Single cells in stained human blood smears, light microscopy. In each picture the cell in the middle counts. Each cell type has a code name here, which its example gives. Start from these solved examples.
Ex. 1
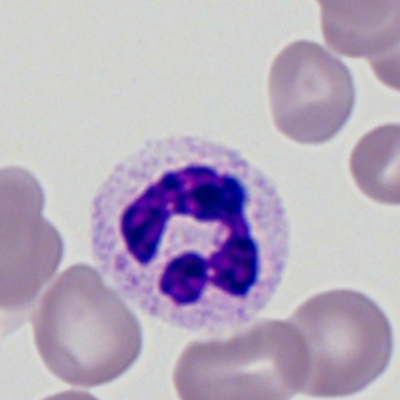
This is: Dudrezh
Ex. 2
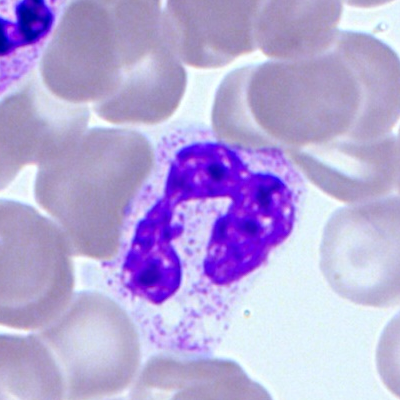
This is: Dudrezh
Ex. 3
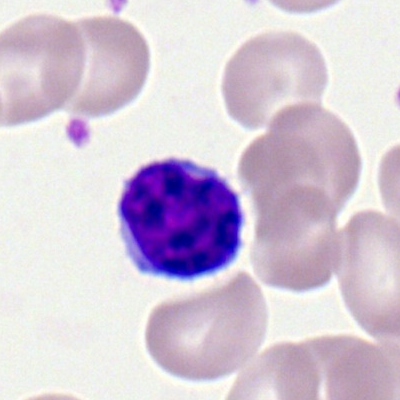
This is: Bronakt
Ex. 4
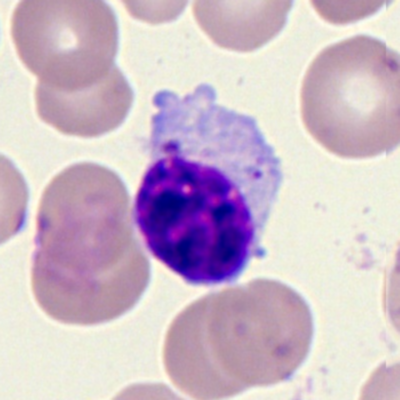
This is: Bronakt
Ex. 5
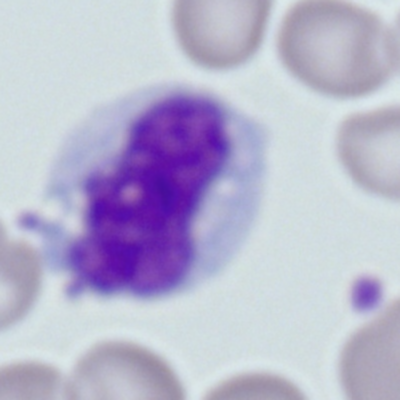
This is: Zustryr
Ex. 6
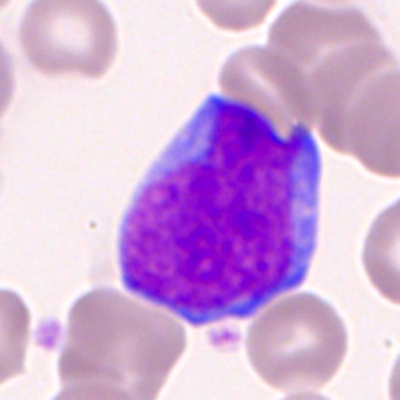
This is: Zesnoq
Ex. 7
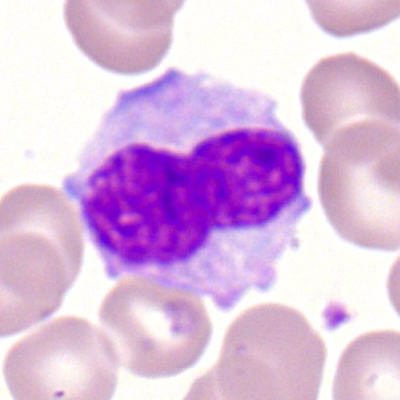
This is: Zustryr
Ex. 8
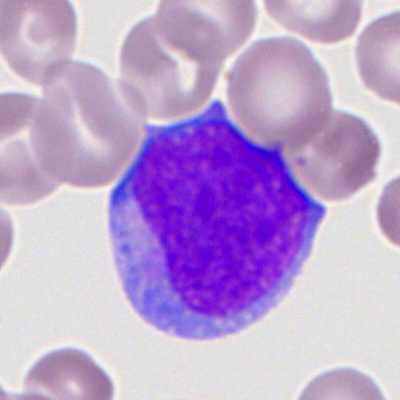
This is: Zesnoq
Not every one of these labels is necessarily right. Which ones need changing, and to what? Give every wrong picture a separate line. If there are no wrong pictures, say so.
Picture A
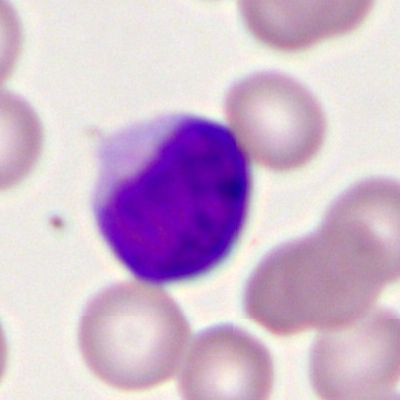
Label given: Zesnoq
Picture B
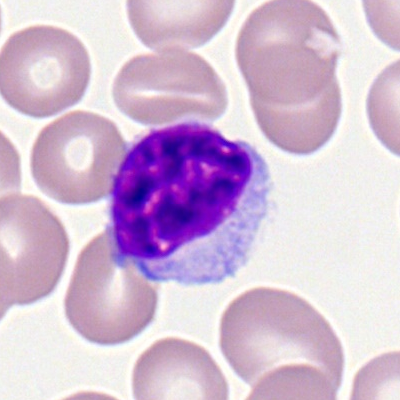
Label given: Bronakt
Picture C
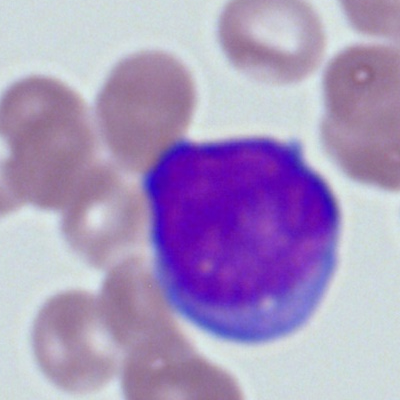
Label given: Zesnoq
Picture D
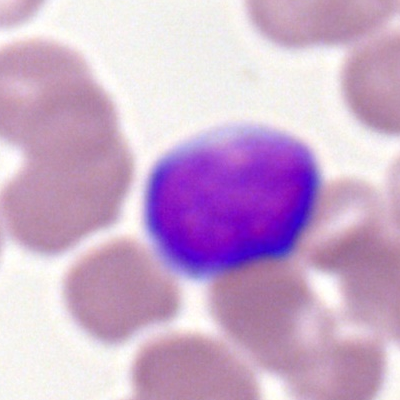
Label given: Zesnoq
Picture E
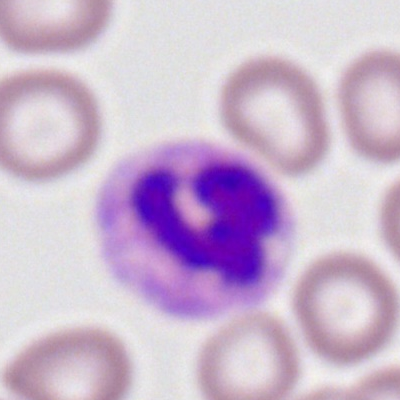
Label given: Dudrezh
None of the labels needs changing.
